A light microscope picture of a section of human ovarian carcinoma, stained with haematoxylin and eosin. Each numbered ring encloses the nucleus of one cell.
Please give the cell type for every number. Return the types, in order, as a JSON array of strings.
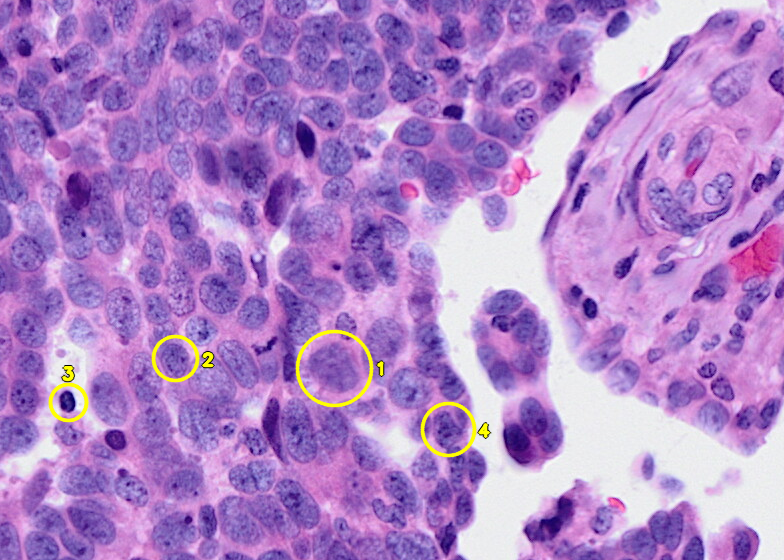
["carcinoma cell", "carcinoma cell", "lymphocyte", "carcinoma cell"]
